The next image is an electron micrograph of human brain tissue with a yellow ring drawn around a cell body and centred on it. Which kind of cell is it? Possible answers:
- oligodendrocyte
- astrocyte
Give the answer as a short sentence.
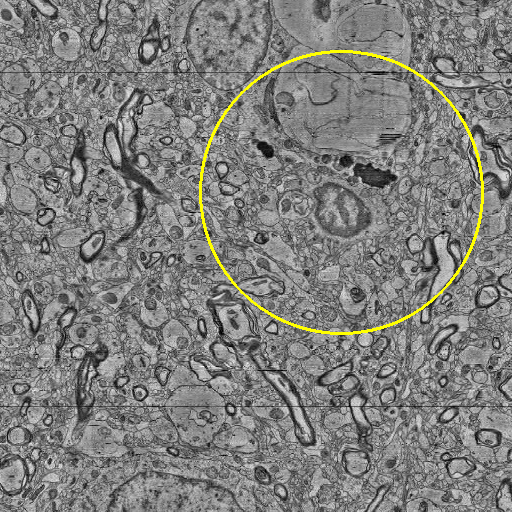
In the ring's centre is an oligodendrocyte.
